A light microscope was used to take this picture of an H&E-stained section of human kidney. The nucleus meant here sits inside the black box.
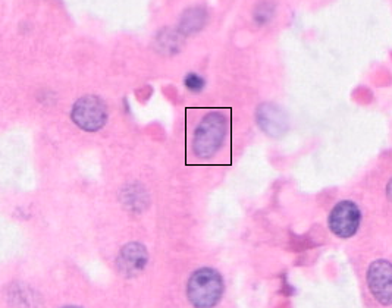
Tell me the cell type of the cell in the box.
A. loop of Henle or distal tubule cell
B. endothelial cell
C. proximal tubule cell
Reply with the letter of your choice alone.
C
